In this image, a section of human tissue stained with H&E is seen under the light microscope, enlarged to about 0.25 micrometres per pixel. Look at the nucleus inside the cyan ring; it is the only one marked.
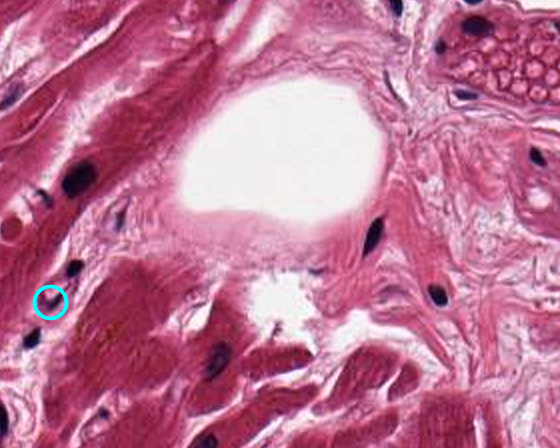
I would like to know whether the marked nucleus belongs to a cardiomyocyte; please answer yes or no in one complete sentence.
No, the cell to which the marked nucleus belongs is a supporting cell rather than a cardiomyocyte.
